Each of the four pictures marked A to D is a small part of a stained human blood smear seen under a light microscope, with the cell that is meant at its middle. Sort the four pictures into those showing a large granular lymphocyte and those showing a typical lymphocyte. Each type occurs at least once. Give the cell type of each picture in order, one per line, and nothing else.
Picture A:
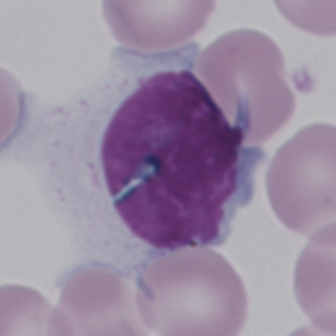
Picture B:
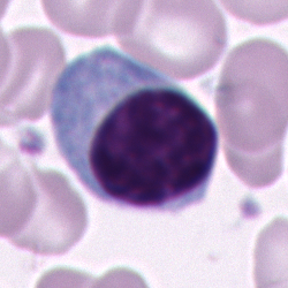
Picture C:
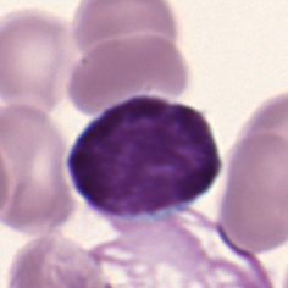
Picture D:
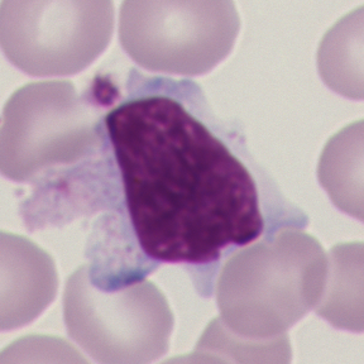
large granular lymphocyte
typical lymphocyte
typical lymphocyte
large granular lymphocyte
